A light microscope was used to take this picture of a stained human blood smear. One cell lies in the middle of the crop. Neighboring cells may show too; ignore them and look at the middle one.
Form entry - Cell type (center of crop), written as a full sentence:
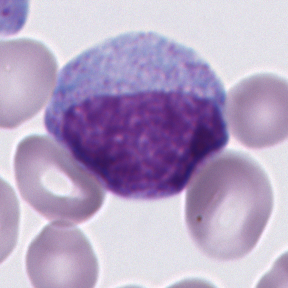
At the middle of the frame sits a promyelocyte.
